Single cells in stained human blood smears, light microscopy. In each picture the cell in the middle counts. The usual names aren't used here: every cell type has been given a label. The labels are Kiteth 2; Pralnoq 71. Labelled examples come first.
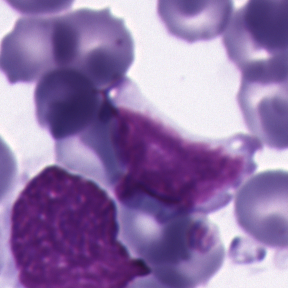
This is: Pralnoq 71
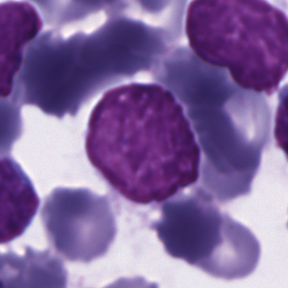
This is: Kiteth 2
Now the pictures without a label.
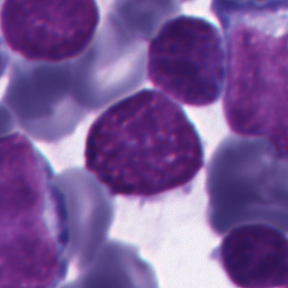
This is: Pralnoq 71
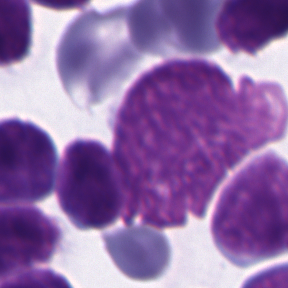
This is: Kiteth 2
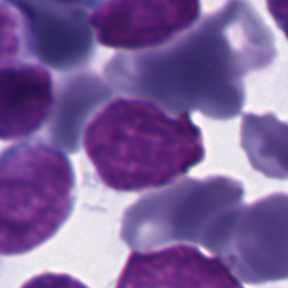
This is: Kiteth 2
